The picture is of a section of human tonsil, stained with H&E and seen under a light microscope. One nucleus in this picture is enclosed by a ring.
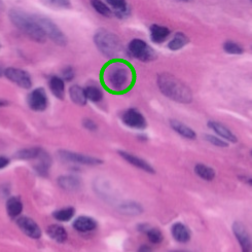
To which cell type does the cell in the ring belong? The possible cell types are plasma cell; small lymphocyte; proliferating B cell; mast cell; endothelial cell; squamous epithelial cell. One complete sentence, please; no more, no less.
For the purposes of cell typing, the cell in the ring is categorized as an endothelial cell.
